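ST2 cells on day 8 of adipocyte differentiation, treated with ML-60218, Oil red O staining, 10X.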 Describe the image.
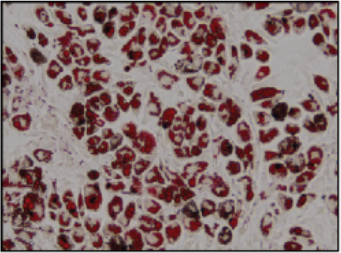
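The red-filled cells crowd together in dense clusters. Between them lie paler, unstained cells with a flatter, more spread-out form.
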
